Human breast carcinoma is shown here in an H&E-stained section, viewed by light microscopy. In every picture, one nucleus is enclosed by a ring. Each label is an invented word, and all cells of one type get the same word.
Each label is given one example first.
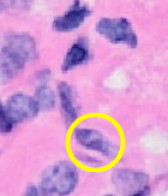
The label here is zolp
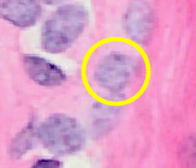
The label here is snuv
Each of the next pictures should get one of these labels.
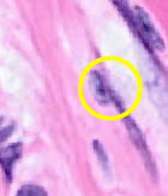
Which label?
zolp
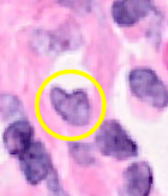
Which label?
snuv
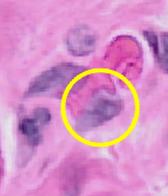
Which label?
zolp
